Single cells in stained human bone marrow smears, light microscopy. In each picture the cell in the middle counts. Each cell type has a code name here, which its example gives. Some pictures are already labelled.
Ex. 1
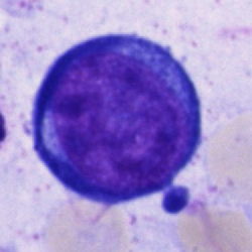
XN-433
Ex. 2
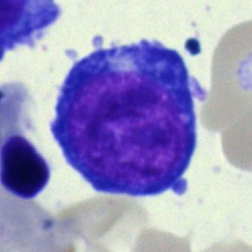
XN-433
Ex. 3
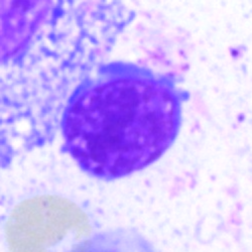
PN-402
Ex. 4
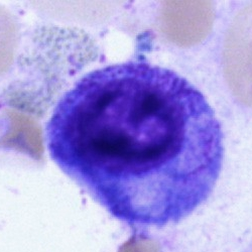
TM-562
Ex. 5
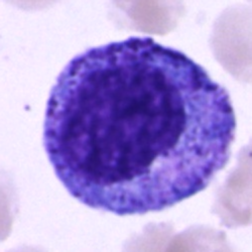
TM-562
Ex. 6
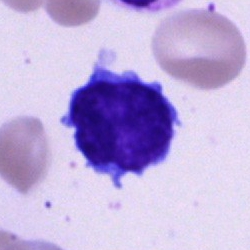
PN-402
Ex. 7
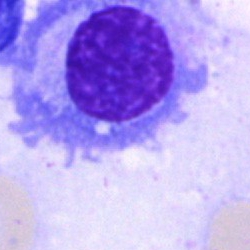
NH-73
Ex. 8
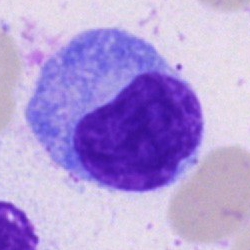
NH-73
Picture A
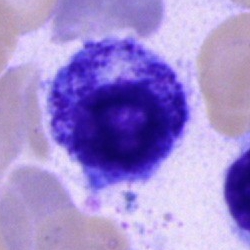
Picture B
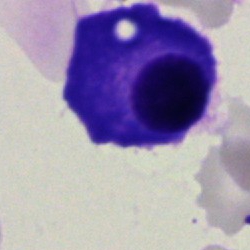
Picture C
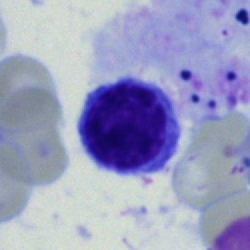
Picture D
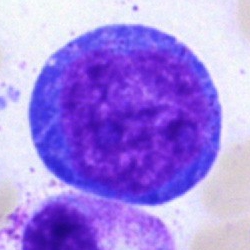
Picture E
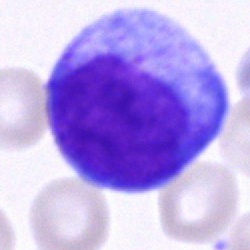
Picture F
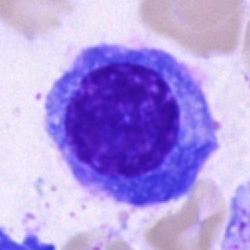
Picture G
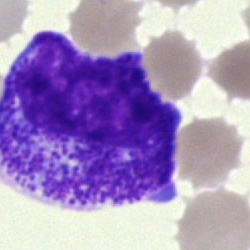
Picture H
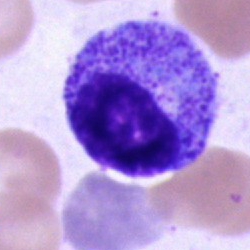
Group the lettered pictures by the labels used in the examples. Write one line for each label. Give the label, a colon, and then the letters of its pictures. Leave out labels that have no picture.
XN-433: D
PN-402: C
TM-562: A, E, G, H
NH-73: B, F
